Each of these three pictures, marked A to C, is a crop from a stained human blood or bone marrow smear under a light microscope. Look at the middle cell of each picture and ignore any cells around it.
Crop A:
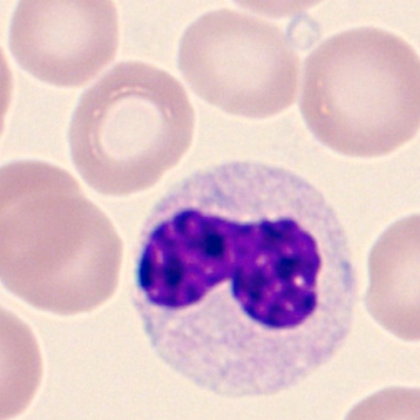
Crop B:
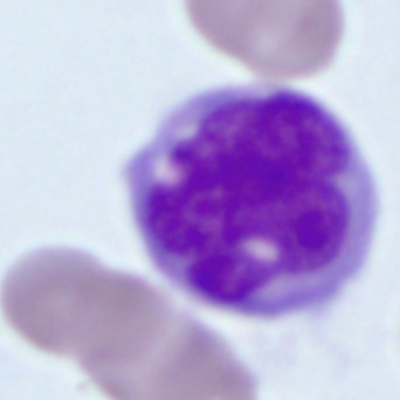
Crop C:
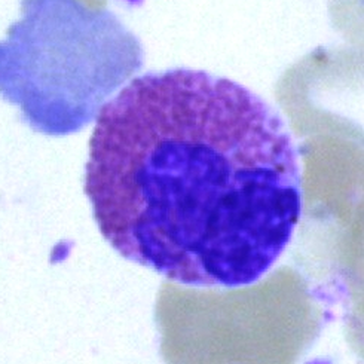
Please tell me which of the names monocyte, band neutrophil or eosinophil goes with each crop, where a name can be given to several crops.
A: band neutrophil
B: monocyte
C: eosinophil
